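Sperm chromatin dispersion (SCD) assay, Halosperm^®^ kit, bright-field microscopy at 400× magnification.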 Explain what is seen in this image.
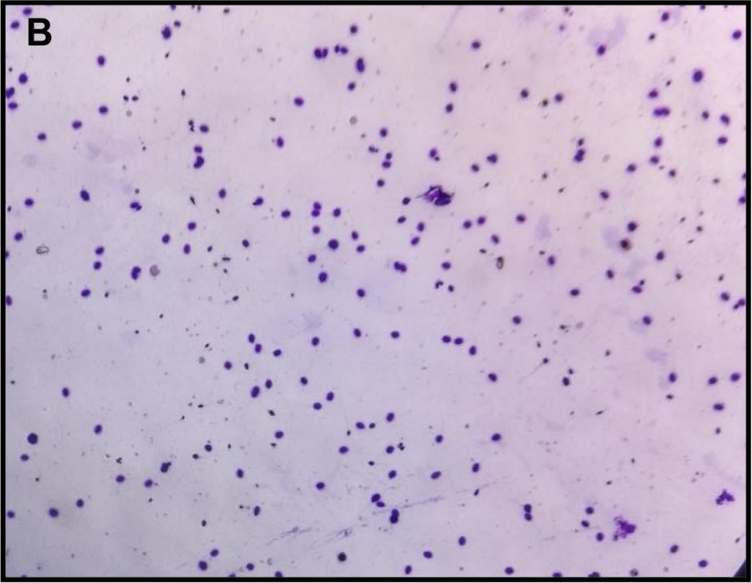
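Numerous small, compact, dark purple oval bodies are spread fairly evenly across a pale background, some with thin faint tails. Few of them carry any diffuse rim, and where one is present it is narrow. These are spermatozoa with mostly small or no halos around their heads.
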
